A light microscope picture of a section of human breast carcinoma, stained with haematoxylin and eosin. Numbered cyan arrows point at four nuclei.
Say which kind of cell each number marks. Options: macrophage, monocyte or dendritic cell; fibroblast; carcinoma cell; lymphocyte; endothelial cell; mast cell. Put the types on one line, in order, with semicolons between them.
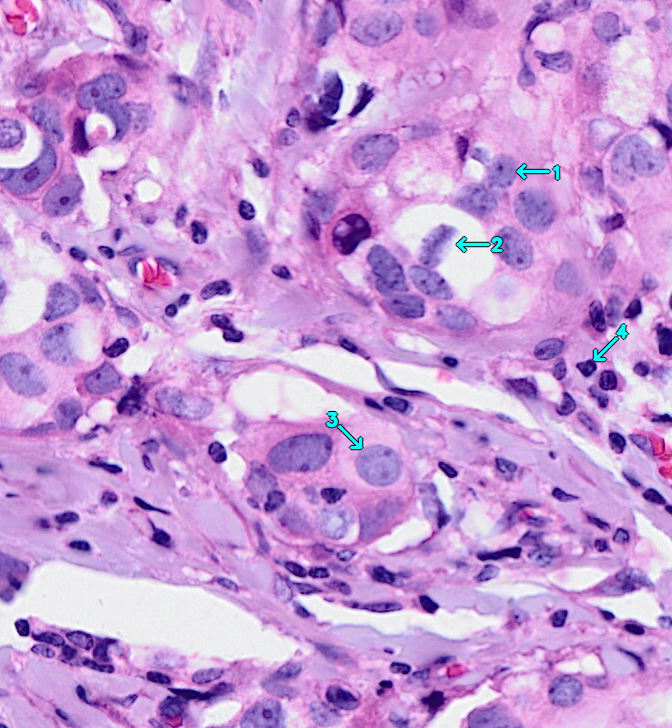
carcinoma cell; carcinoma cell; carcinoma cell; lymphocyte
